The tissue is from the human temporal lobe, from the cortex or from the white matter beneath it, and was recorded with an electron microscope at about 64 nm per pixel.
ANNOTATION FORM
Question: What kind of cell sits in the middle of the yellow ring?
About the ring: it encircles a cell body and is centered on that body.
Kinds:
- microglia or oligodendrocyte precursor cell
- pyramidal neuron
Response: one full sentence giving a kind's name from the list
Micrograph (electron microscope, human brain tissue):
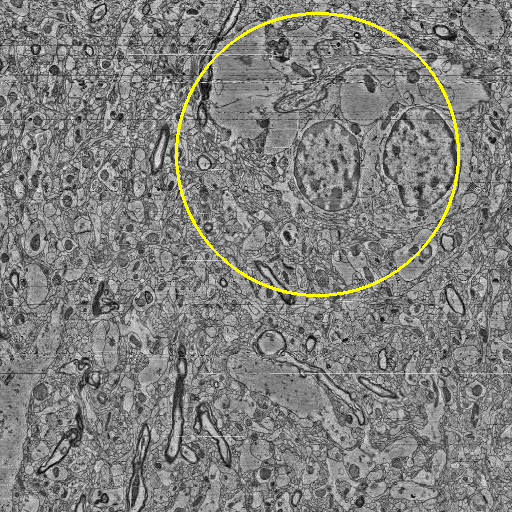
The kind of cell found at the center of the yellow ring in the micrograph is a microglial cell or oligodendrocyte precursor cell.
